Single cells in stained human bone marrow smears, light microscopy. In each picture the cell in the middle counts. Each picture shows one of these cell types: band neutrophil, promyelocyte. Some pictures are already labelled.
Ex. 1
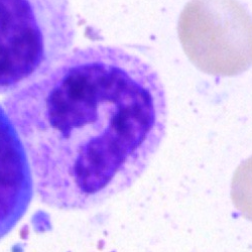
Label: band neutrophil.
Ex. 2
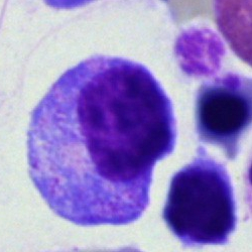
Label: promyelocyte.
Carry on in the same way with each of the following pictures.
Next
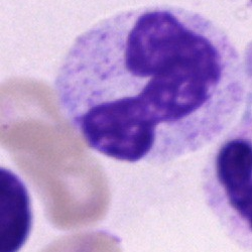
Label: band neutrophil.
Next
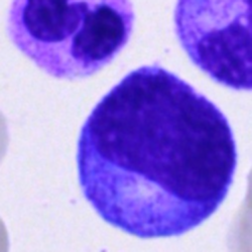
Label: promyelocyte.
